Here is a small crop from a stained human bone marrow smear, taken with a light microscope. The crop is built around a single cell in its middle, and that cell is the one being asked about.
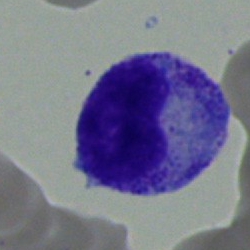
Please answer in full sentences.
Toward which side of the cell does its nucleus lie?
The nucleus sits off-centre, toward the left.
